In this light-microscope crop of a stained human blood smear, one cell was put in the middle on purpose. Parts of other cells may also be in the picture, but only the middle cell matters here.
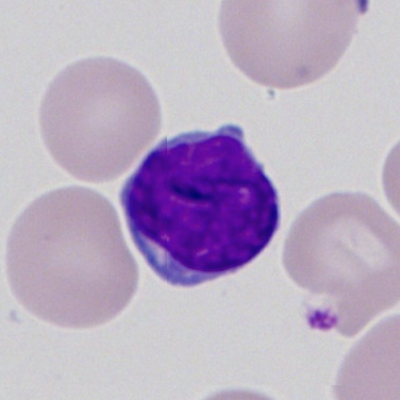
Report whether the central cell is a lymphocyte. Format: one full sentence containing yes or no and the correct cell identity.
Yes, the cell occupying the center is a lymphocyte.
